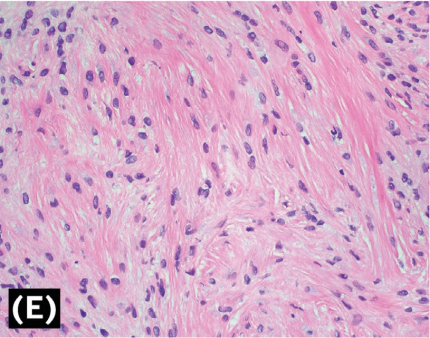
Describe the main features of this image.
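This is a less cellular area of a spindle cell tumour. Slender spindle to oval nuclei with fine chromatin are spread apart. Between them run thick, glassy, bright pink collagen bundles in wavy fascicles. The cells are bland without marked variation in size. Small pale spaces separate some of the collagen bundles.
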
